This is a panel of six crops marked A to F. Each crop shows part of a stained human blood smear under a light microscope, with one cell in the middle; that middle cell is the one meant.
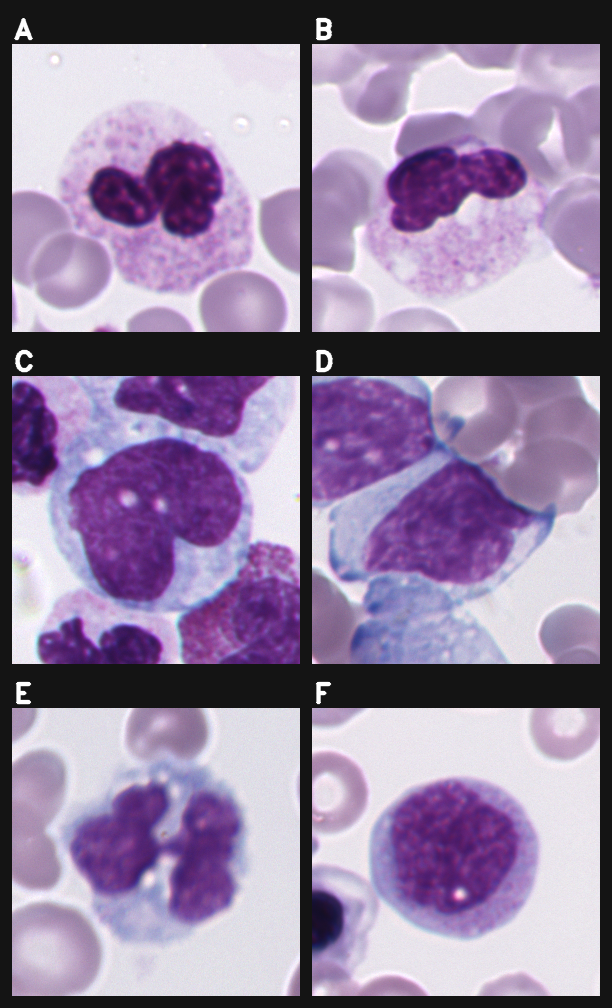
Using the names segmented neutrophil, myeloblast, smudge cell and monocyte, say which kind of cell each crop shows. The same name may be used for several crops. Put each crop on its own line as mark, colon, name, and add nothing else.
A: segmented neutrophil
B: segmented neutrophil
C: monocyte
D: myeloblast
E: monocyte
F: monocyte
